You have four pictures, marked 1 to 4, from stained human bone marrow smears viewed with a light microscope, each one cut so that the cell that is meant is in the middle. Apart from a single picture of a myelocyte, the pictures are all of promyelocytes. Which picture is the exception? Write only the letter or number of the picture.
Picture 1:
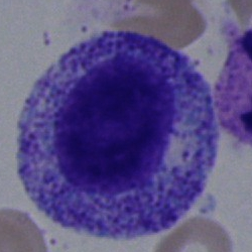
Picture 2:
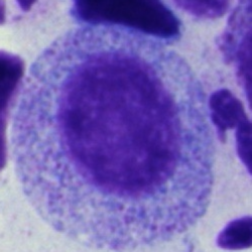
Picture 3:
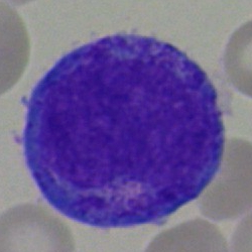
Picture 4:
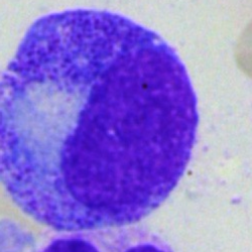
1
